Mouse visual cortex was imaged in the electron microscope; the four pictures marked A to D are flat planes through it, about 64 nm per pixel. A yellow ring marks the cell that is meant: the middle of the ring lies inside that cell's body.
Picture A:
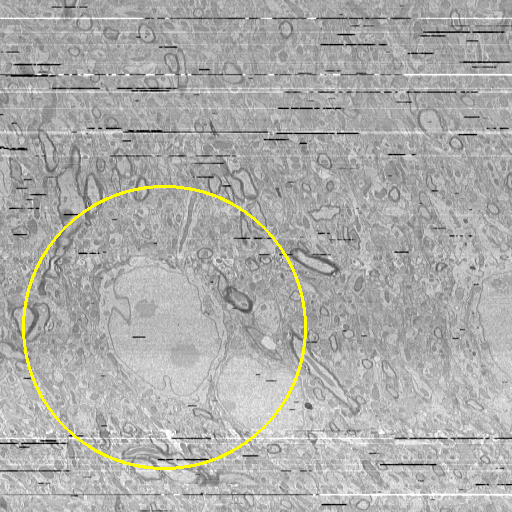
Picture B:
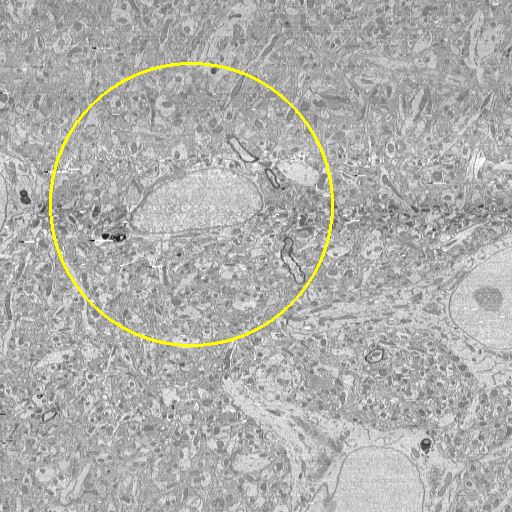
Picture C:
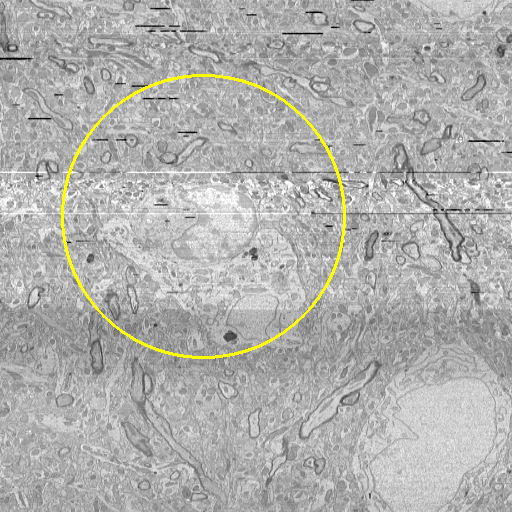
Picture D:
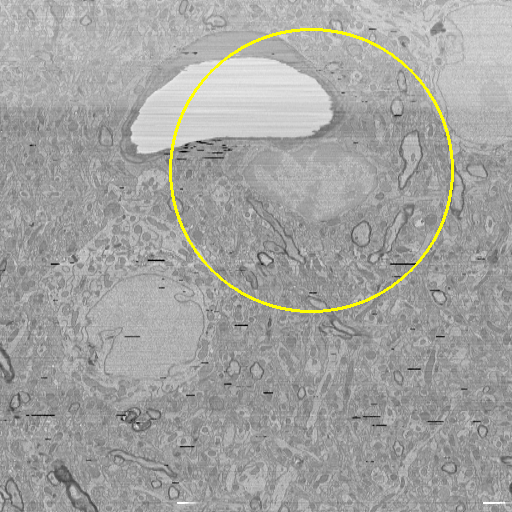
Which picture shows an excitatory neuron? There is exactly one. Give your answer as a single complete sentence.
The picture with the excitatory neuron is A.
